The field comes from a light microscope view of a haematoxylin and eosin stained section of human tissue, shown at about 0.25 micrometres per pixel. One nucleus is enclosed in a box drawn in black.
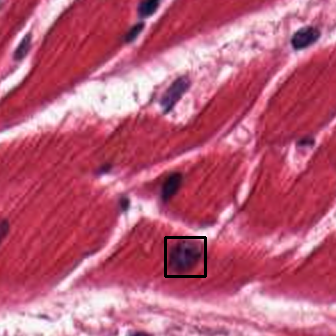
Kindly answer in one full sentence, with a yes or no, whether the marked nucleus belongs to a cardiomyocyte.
Yes, the marked nucleus is found within a cardiomyocyte.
